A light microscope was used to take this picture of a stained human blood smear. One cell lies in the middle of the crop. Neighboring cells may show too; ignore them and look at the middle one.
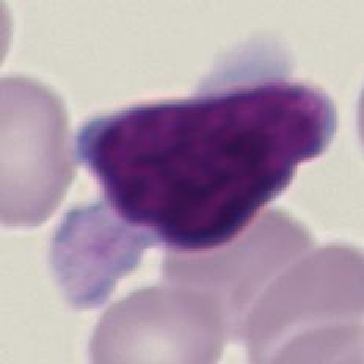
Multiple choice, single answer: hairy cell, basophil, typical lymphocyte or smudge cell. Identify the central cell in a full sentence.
In the centre of this crop there is a typical lymphocyte.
